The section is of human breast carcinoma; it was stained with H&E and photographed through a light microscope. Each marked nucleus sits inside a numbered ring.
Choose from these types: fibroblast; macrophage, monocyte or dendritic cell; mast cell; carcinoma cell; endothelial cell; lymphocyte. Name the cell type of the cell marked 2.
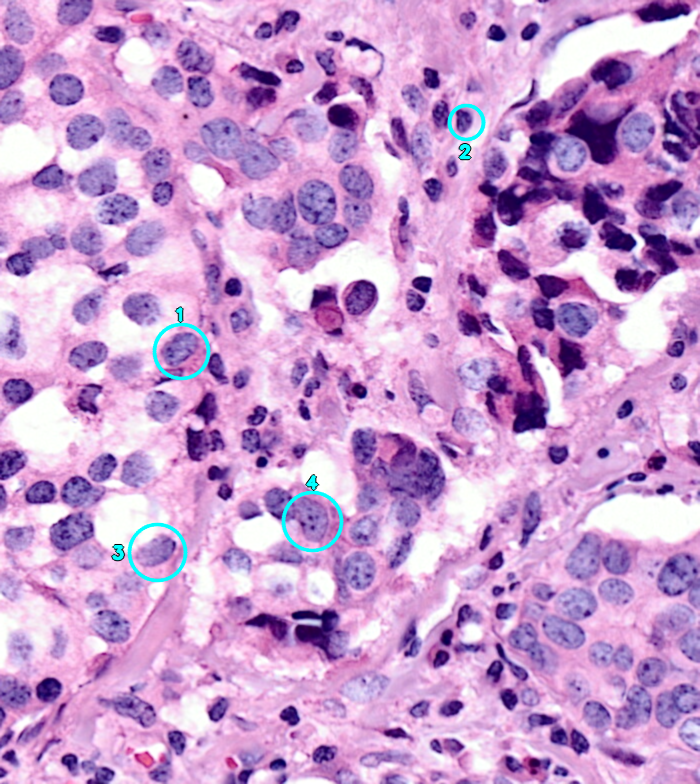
lymphocyte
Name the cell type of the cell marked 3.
carcinoma cell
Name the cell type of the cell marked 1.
carcinoma cell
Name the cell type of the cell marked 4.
carcinoma cell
